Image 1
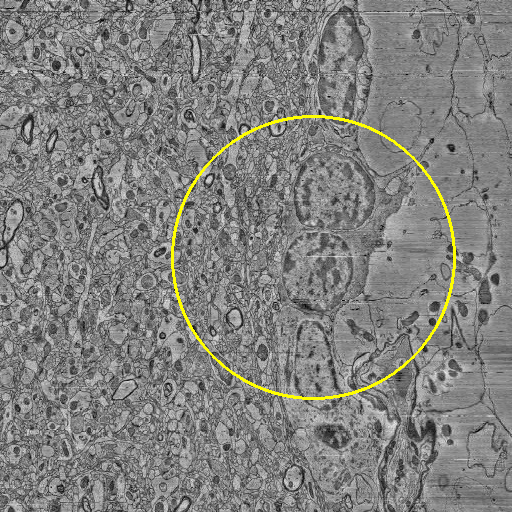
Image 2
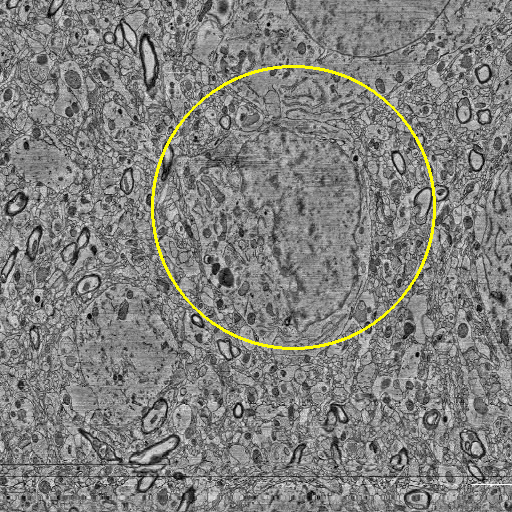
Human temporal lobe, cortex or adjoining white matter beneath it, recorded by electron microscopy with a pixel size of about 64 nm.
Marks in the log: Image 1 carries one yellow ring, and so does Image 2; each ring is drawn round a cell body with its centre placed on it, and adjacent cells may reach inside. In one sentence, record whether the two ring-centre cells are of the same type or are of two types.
The two cells at the ring centres, one in each image, are of two types.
